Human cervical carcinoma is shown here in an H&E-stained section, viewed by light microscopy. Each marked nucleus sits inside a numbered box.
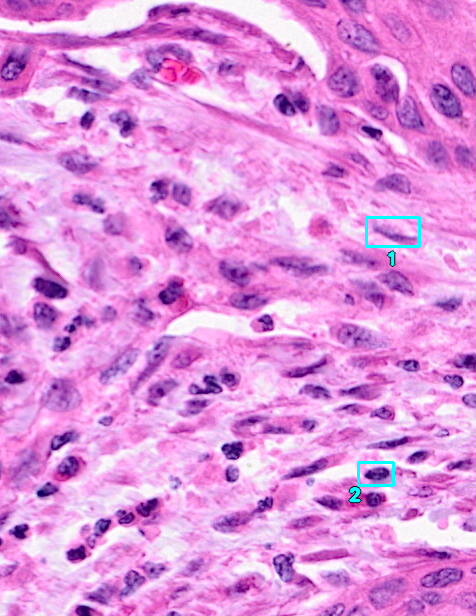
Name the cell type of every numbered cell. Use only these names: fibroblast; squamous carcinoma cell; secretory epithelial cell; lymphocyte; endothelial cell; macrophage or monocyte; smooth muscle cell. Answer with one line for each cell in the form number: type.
1: fibroblast
2: lymphocyte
